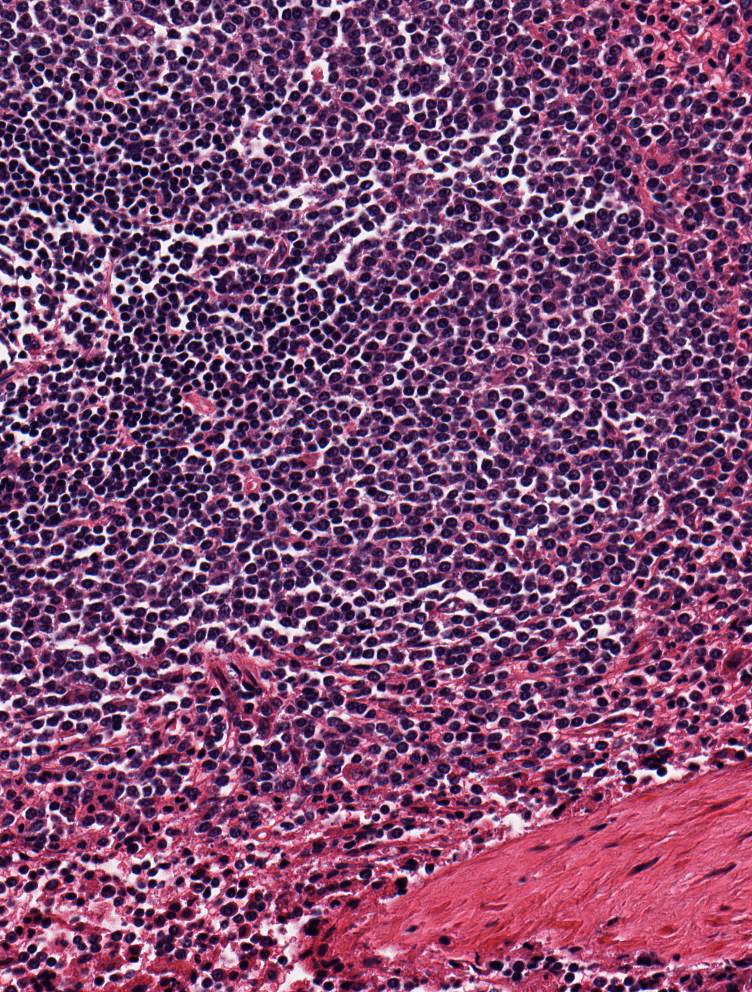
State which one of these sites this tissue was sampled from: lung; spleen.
spleen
